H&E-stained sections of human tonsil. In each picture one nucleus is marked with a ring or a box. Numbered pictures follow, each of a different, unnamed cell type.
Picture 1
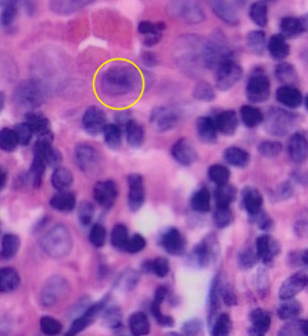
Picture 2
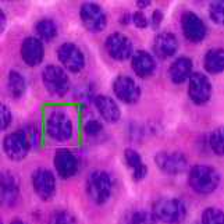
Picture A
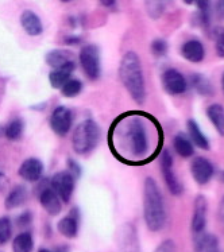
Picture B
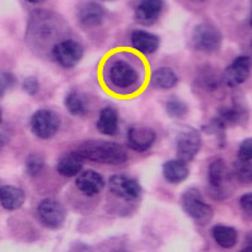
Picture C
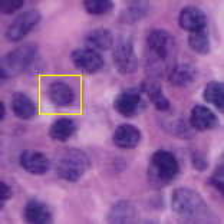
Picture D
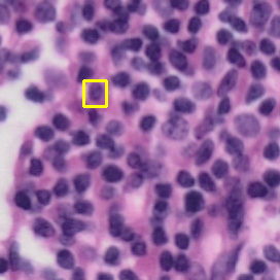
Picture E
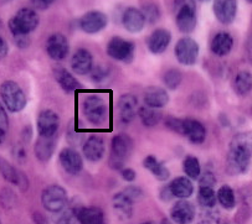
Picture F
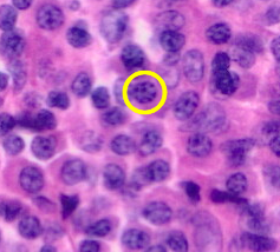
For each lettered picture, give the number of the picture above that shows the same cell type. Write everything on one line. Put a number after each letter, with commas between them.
A 1, B 2, C 2, D 1, E 2, F 2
